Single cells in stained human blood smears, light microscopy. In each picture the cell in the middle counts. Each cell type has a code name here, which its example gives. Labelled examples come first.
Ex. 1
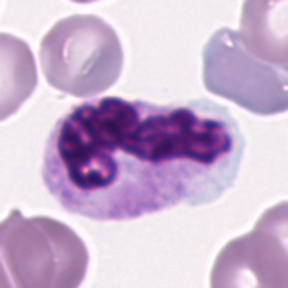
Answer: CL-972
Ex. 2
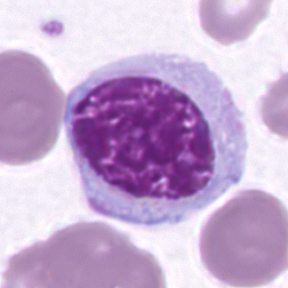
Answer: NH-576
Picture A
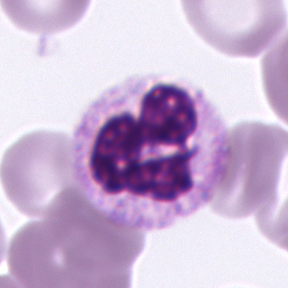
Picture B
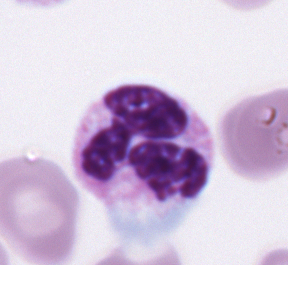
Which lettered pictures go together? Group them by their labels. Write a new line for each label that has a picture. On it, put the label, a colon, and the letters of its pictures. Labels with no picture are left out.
CL-972: A, B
